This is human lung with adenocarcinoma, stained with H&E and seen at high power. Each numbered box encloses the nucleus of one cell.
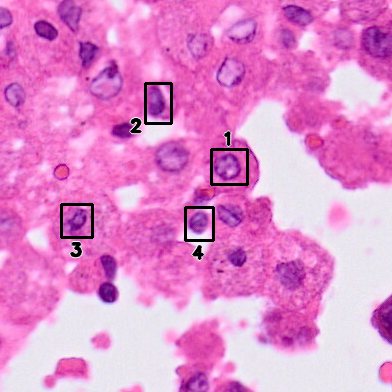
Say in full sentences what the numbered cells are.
Cells 1, 2 and 3 are macrophages or monocytes. Cell 4 is a lymphocyte.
